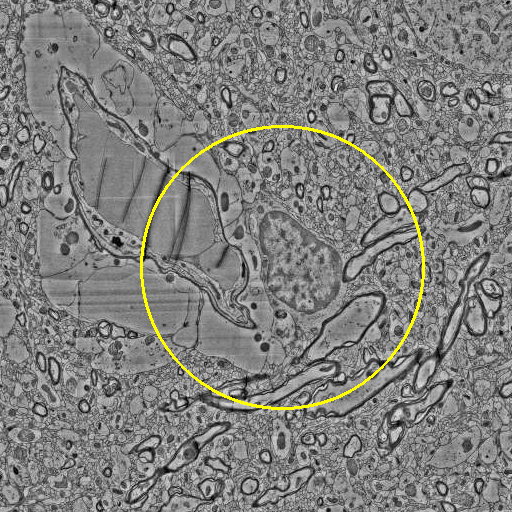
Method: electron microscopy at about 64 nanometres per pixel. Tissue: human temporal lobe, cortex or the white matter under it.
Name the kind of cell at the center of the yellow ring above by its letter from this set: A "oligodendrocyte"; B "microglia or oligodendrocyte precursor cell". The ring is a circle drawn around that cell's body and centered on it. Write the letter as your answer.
A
